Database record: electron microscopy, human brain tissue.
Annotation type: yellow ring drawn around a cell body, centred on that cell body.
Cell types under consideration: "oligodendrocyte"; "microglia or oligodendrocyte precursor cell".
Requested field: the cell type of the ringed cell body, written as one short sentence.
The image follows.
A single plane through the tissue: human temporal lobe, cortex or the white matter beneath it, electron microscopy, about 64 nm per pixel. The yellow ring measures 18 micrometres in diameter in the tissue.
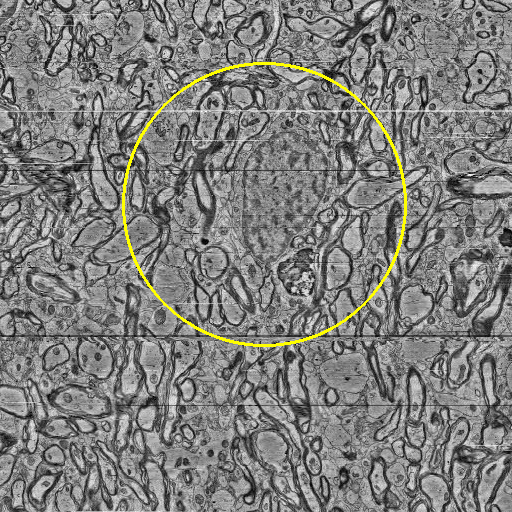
The ringed cell body represents an oligodendrocyte.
